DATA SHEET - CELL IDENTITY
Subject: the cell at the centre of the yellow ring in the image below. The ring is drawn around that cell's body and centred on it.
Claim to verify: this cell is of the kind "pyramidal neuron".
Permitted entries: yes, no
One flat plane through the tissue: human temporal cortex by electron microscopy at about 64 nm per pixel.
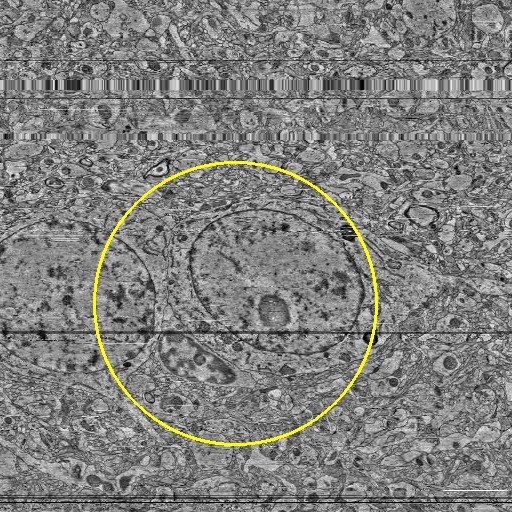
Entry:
yes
